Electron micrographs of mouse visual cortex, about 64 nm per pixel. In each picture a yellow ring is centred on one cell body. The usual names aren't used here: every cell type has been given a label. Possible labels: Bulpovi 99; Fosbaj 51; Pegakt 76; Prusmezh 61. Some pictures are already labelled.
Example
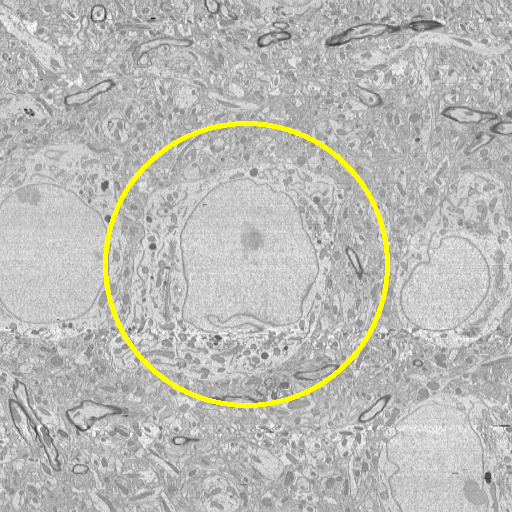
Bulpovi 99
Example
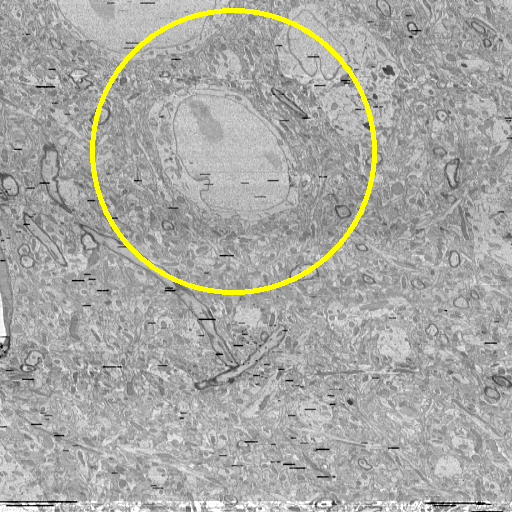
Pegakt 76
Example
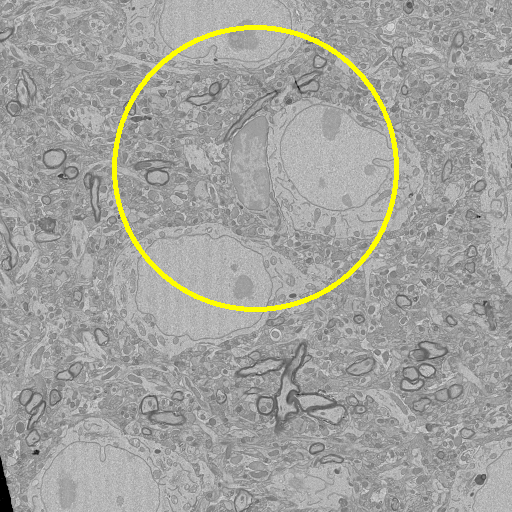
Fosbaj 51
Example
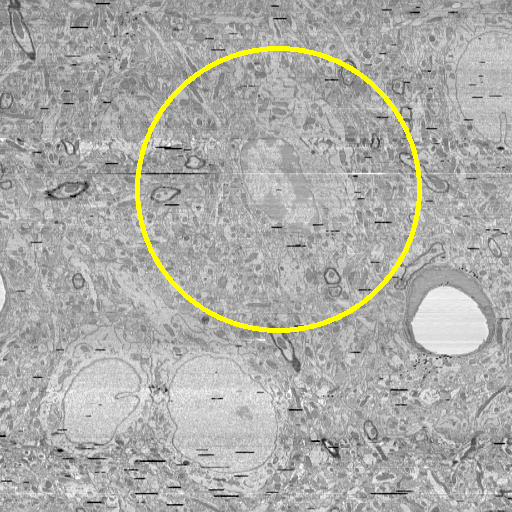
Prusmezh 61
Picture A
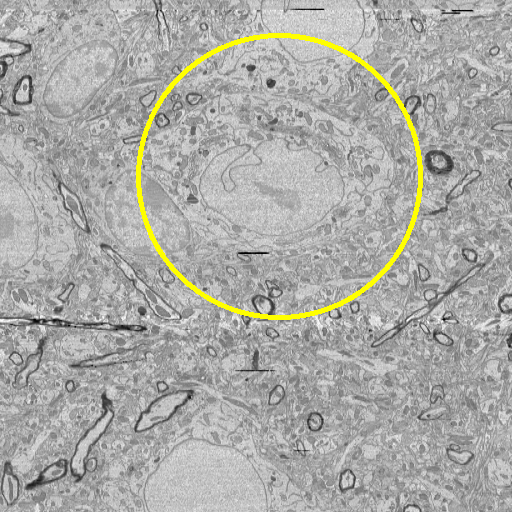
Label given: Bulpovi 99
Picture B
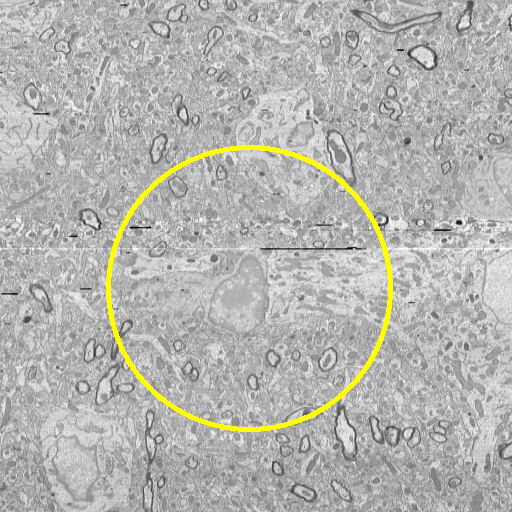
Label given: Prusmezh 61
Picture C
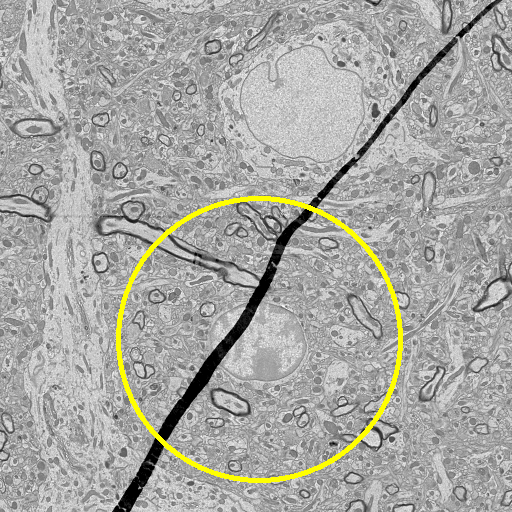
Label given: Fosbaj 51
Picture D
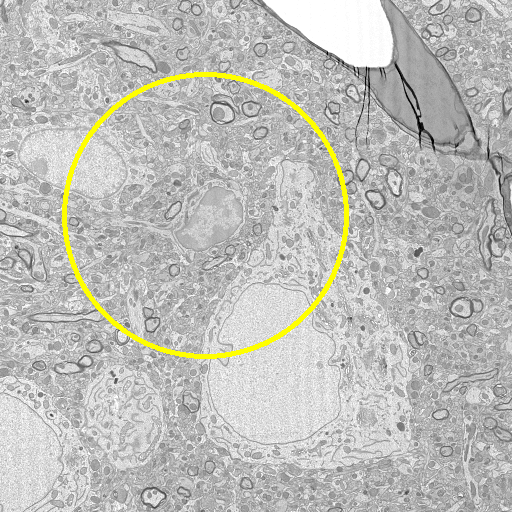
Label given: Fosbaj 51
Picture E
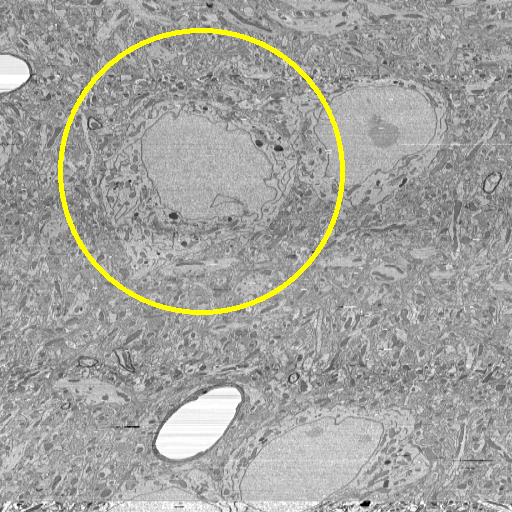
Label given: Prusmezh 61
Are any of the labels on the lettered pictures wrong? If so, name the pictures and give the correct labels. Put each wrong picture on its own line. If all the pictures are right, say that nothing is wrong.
C: Prusmezh 61, not Fosbaj 51
E: Bulpovi 99, not Prusmezh 61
